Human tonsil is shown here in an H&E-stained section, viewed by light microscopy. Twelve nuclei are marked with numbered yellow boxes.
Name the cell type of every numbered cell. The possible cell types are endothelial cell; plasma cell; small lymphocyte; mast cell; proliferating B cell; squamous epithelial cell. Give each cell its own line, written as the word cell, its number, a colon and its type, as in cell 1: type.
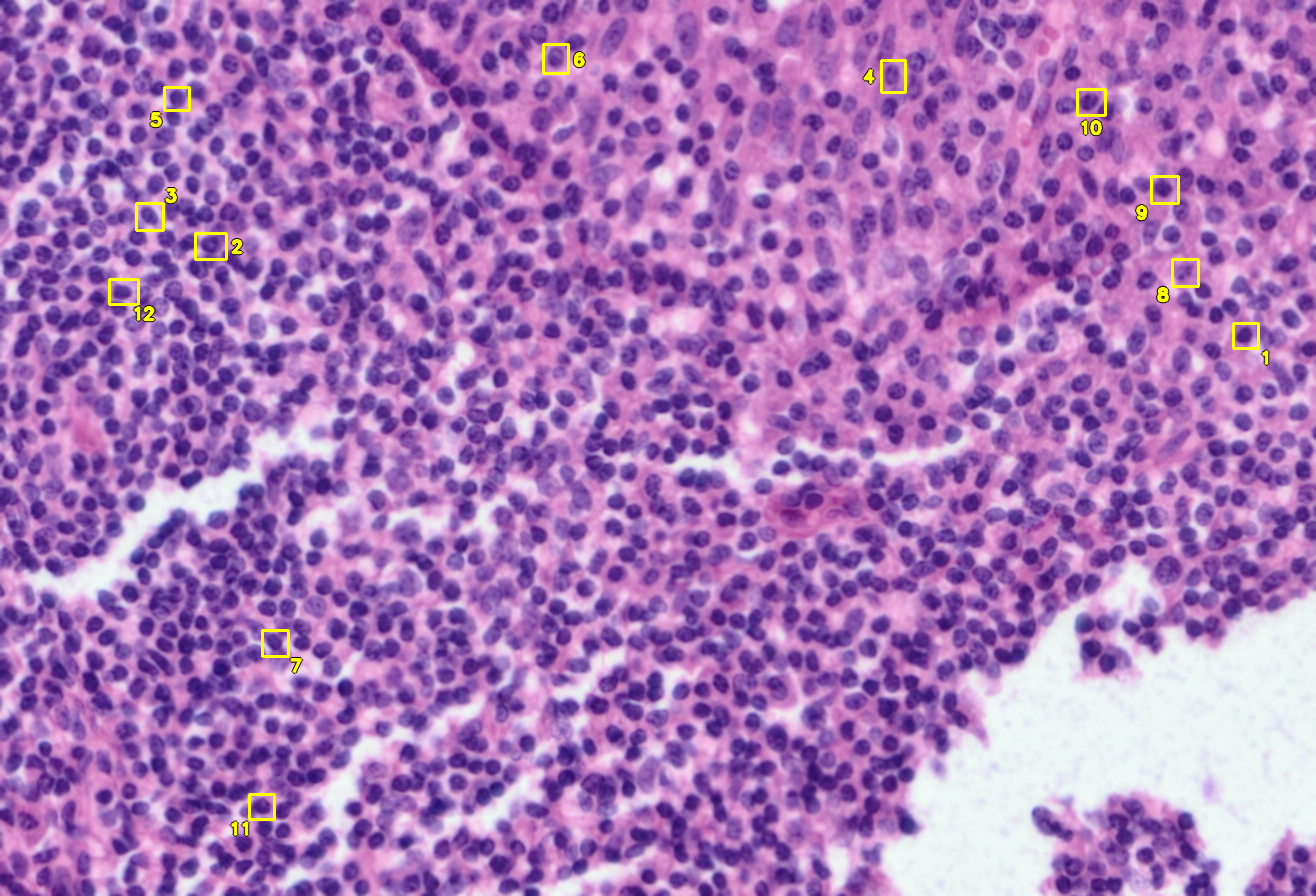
cell 1: plasma cell
cell 2: small lymphocyte
cell 3: small lymphocyte
cell 4: plasma cell
cell 5: small lymphocyte
cell 6: plasma cell
cell 7: small lymphocyte
cell 8: plasma cell
cell 9: plasma cell
cell 10: plasma cell
cell 11: small lymphocyte
cell 12: small lymphocyte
